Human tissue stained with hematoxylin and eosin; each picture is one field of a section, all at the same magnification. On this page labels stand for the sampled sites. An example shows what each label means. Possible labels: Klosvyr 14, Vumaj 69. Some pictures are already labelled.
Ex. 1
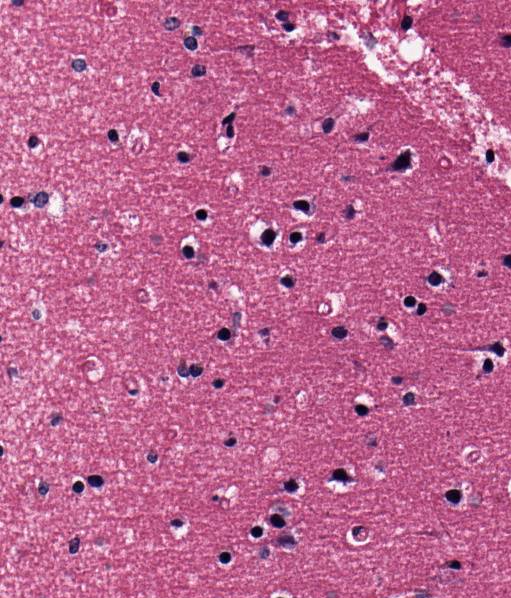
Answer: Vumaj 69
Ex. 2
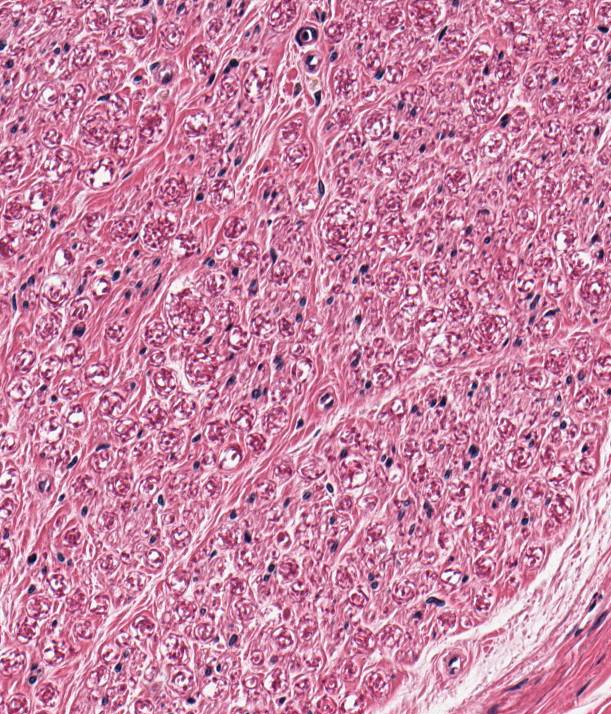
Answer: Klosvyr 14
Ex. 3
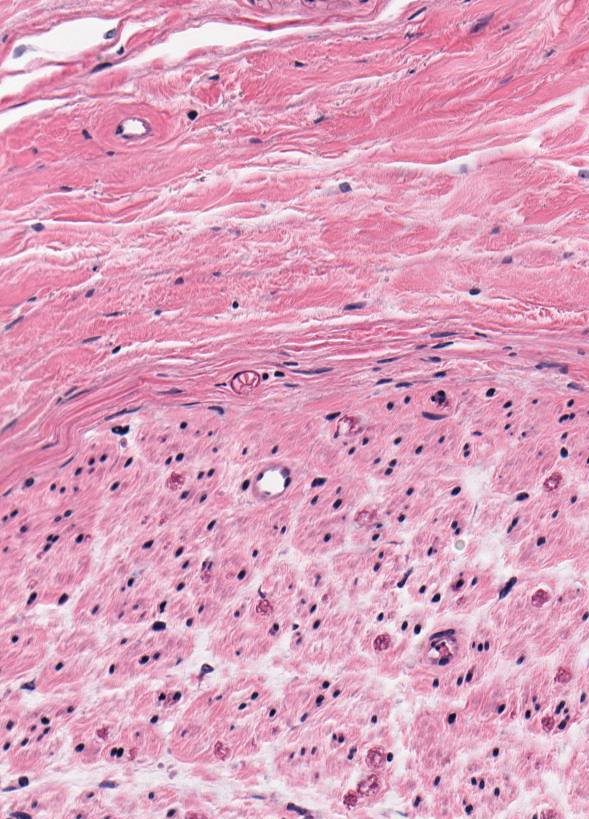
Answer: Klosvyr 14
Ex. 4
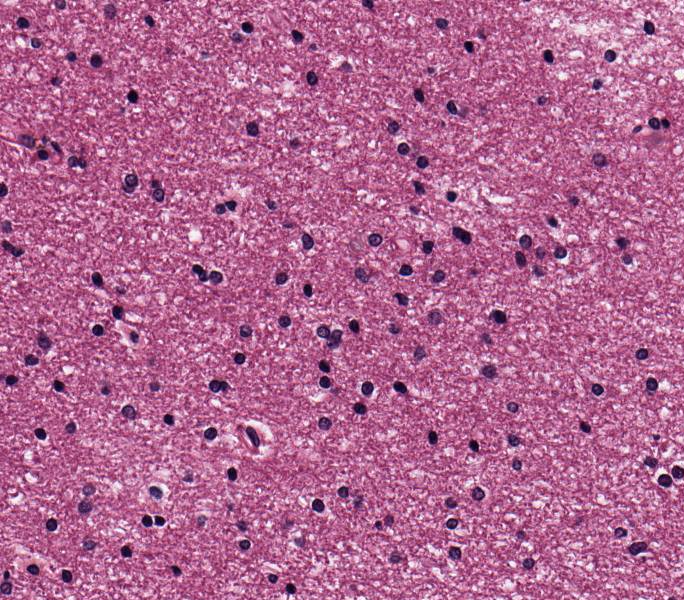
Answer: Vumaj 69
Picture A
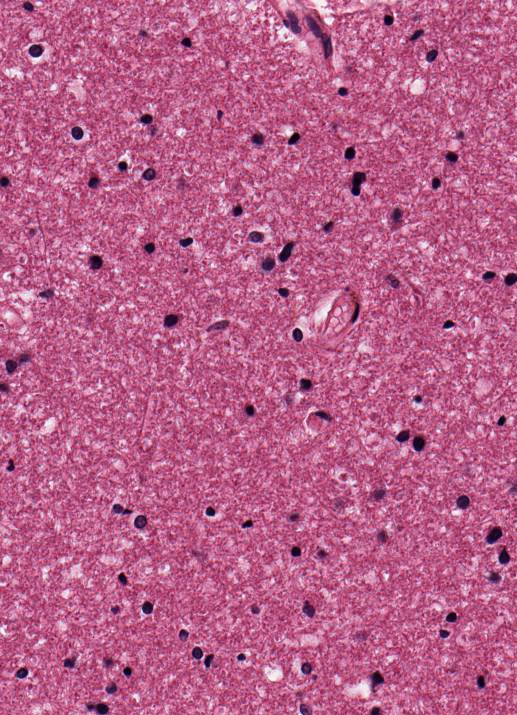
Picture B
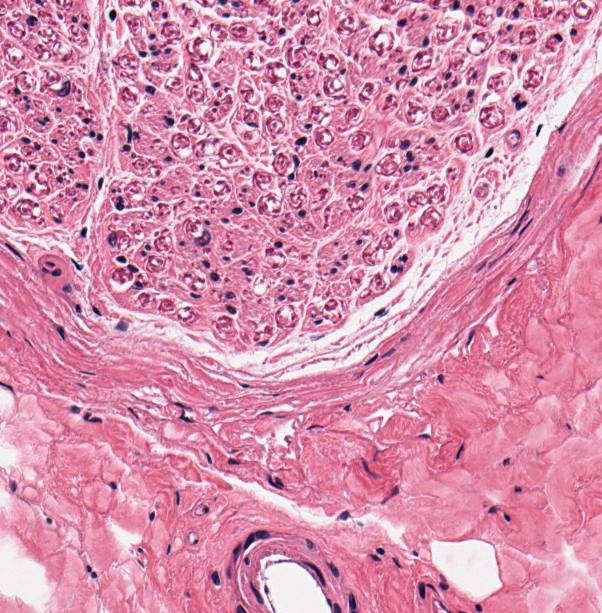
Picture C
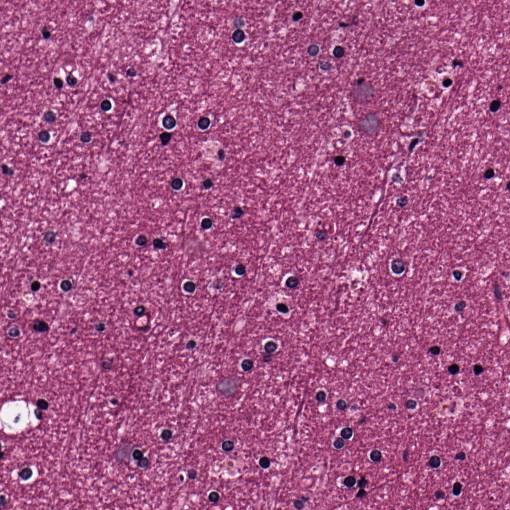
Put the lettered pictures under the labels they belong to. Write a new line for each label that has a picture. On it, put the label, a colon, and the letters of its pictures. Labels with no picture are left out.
Klosvyr 14: B
Vumaj 69: A, C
